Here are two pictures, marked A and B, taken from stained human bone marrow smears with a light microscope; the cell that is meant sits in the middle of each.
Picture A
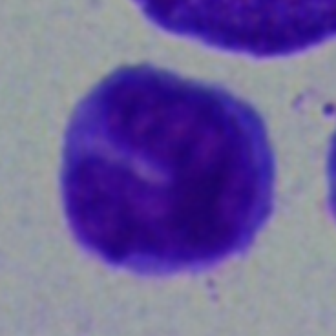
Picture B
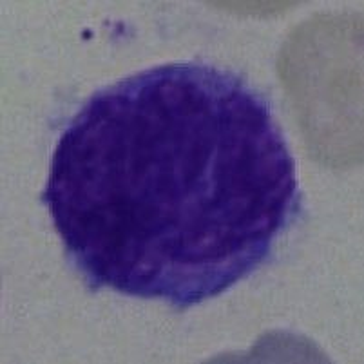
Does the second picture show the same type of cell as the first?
yes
